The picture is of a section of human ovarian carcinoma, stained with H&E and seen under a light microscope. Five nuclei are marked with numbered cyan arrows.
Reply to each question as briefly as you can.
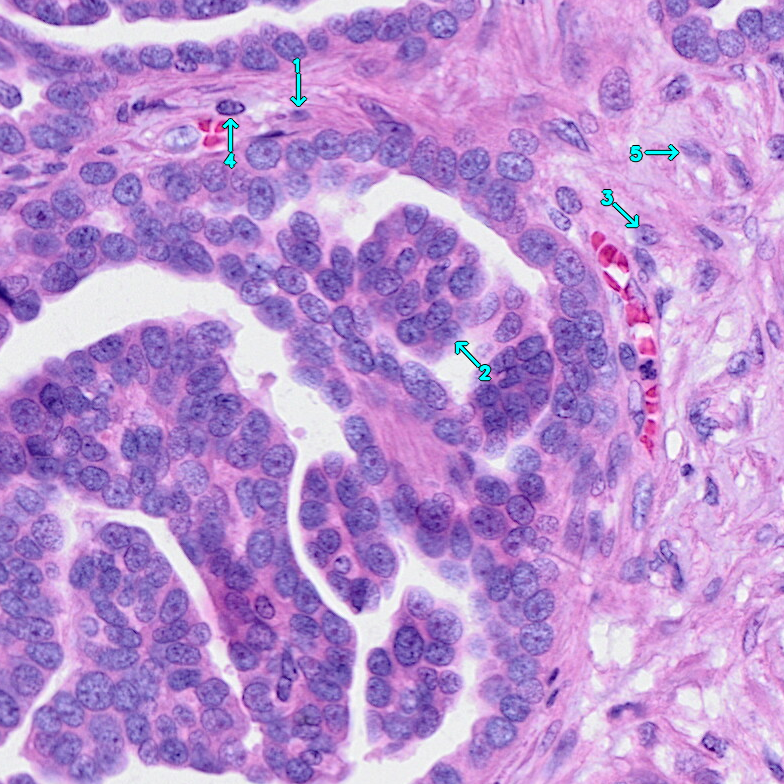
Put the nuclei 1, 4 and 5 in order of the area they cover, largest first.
5, 4, 1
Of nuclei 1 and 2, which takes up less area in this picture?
1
